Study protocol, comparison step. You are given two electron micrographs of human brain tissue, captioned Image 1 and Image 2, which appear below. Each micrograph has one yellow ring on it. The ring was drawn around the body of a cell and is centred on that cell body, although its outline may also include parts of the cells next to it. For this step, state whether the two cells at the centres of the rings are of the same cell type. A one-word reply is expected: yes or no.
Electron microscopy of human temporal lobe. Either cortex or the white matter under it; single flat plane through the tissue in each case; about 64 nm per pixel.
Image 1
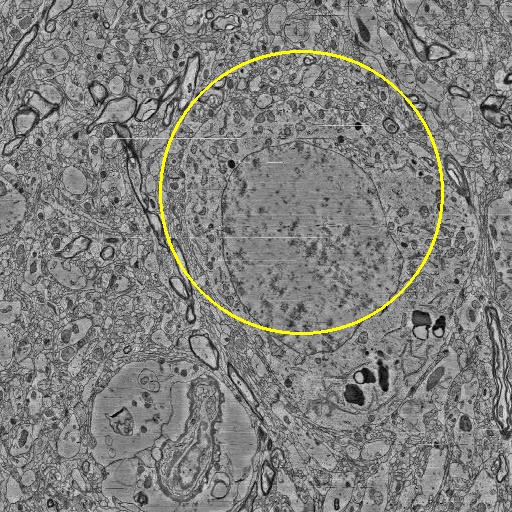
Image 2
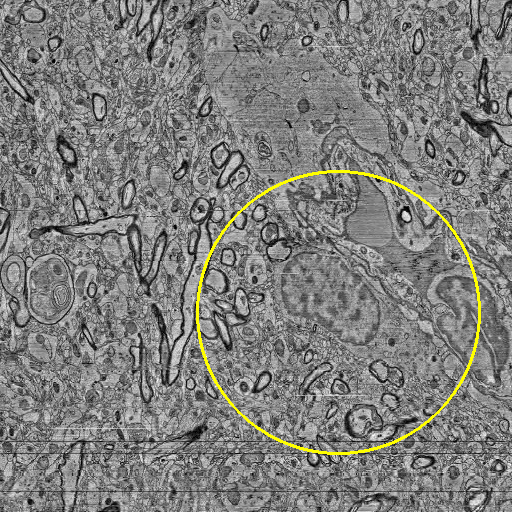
no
